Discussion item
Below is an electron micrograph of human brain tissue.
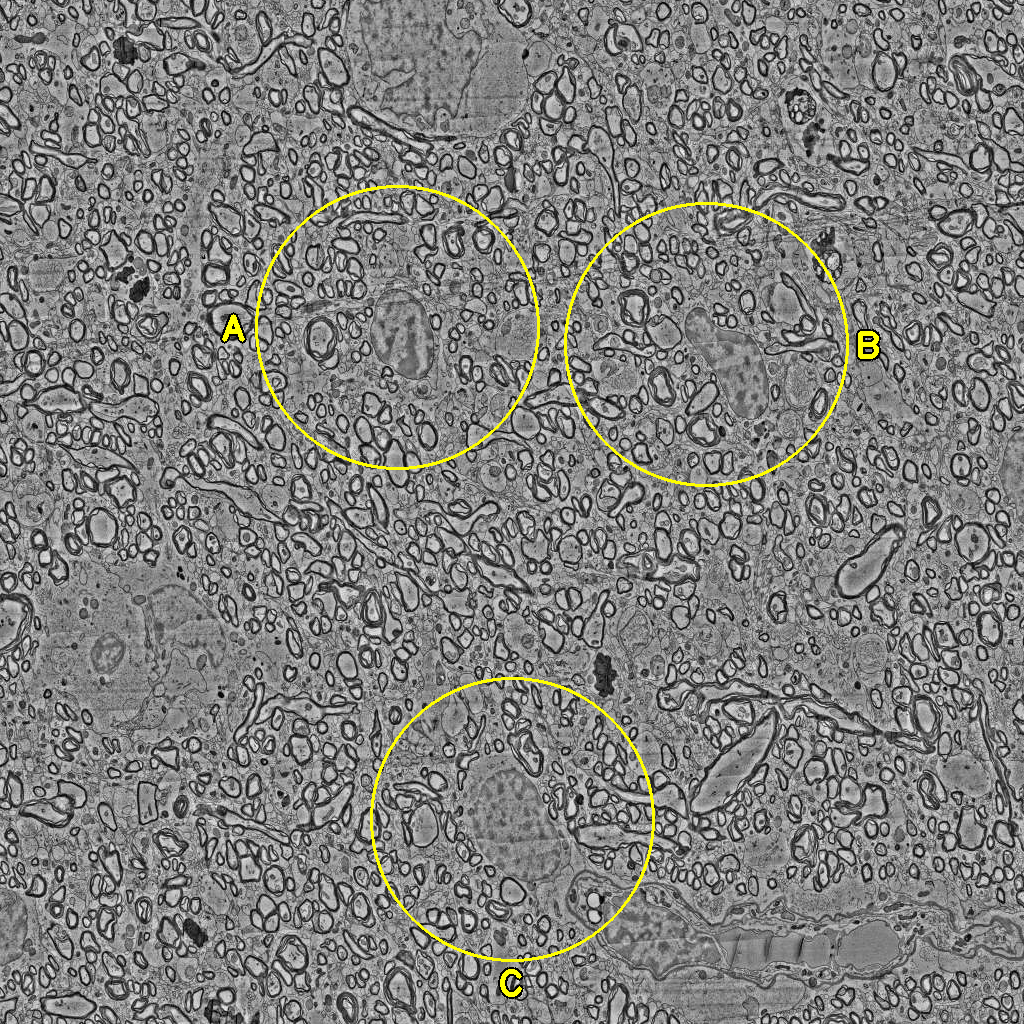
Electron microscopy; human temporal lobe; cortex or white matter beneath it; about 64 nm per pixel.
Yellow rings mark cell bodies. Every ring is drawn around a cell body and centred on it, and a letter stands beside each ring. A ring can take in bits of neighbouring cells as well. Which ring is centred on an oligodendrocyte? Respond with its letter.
C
